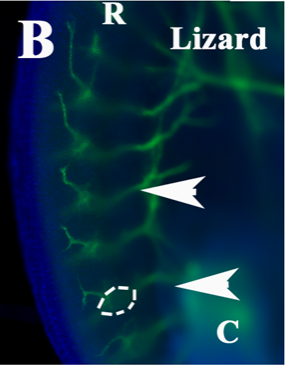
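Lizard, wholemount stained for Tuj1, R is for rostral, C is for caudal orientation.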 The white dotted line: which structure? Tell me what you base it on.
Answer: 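The outlined body is a small green cluster lying at the end of a segmentally repeated nerve branch. Similar clusters repeat along the embryo from top to bottom. The answer: sensory ganglia.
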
